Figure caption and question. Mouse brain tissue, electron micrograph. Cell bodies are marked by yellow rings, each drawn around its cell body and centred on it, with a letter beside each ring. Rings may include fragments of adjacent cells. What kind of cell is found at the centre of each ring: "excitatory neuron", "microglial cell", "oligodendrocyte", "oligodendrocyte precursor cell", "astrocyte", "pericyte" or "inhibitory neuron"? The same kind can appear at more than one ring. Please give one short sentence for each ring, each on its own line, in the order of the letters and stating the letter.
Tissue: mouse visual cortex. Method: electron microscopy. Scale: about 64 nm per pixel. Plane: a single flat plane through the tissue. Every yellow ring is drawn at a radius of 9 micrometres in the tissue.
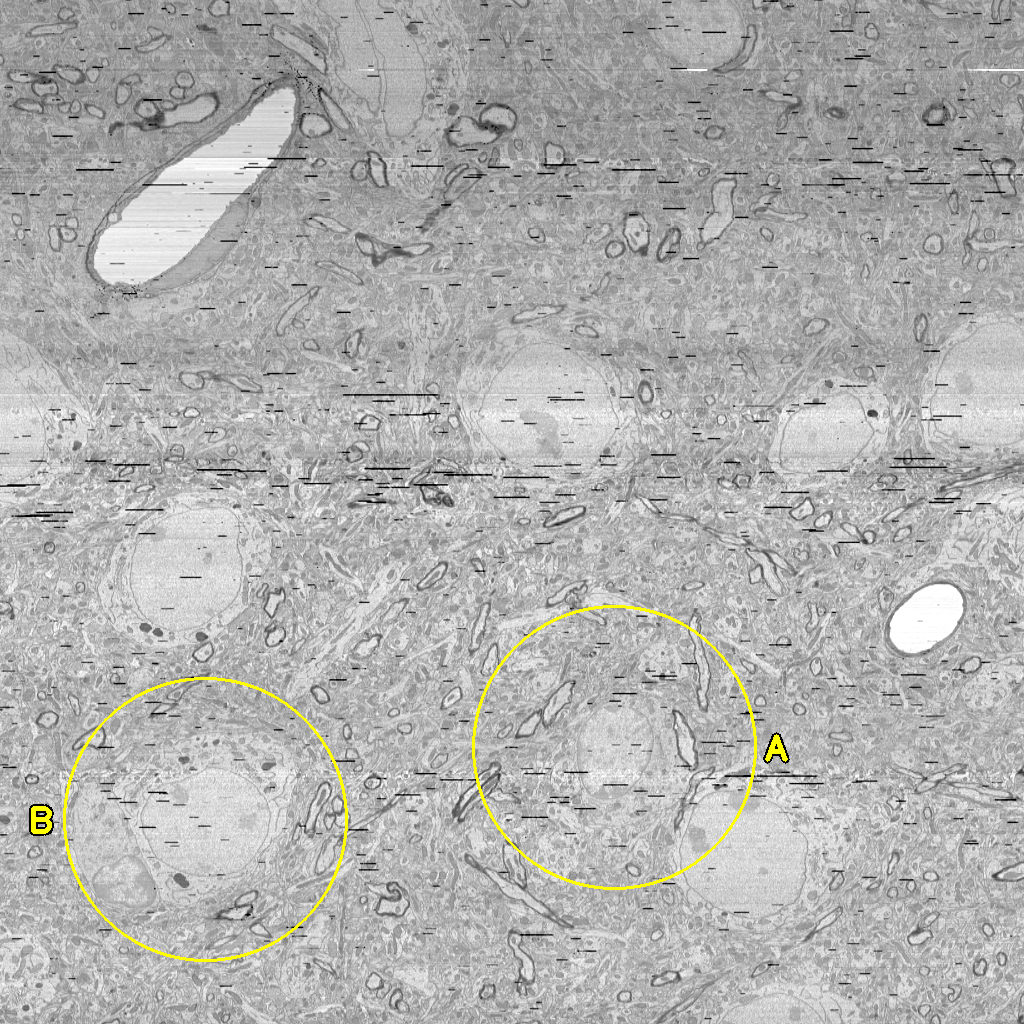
The centre of ring A falls on an oligodendrocyte.
The centre of ring B falls on an excitatory neuron.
